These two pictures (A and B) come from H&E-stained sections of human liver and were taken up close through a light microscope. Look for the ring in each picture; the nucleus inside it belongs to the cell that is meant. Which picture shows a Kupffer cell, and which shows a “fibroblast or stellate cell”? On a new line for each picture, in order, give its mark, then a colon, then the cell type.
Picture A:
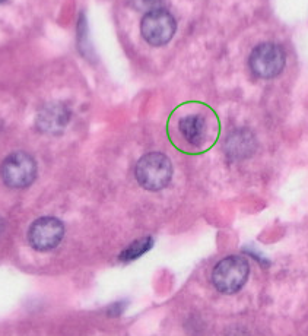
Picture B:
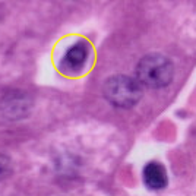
A: fibroblast or stellate cell
B: Kupffer cell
